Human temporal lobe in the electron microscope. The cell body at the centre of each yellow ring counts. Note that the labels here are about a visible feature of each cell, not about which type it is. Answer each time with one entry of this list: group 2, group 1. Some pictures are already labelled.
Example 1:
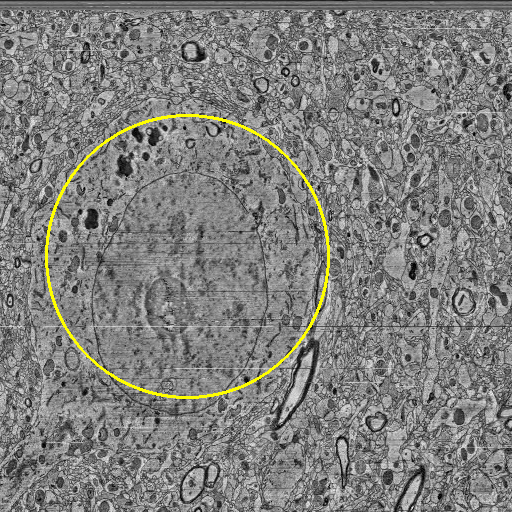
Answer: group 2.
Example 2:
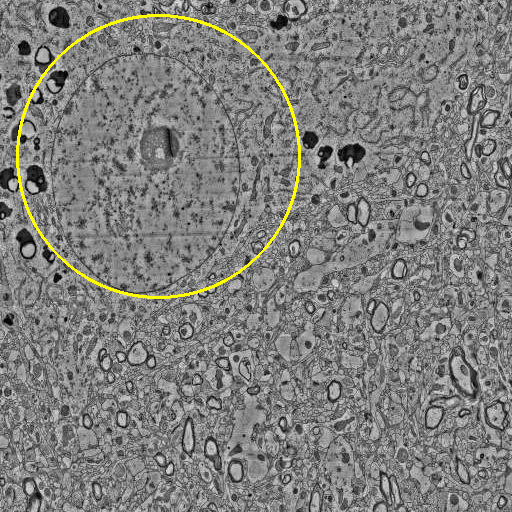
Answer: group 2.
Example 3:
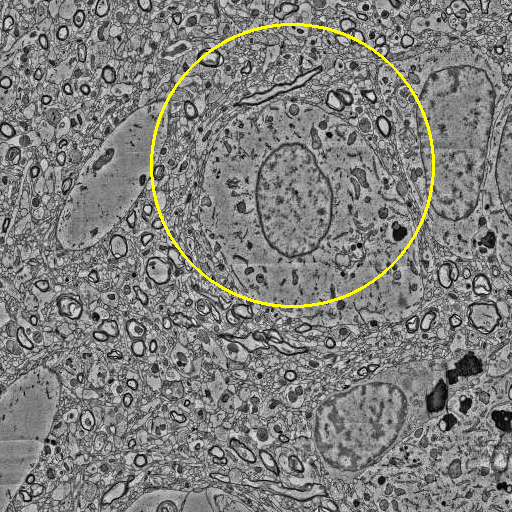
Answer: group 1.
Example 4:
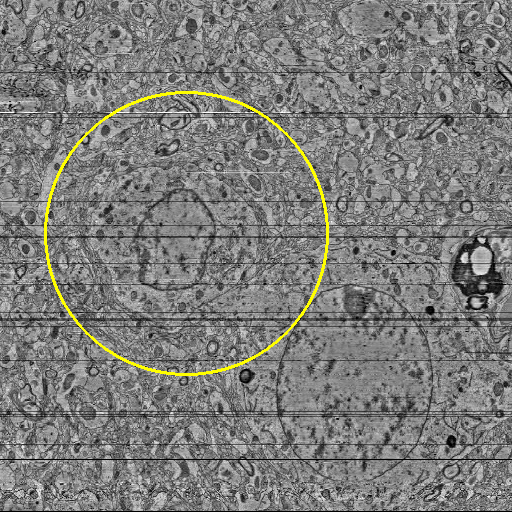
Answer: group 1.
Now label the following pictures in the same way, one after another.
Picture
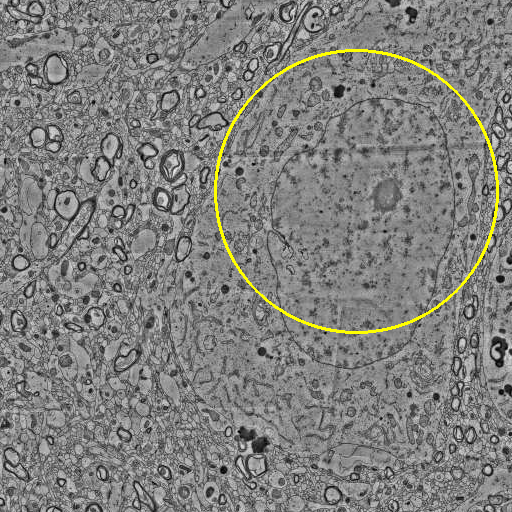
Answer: group 2.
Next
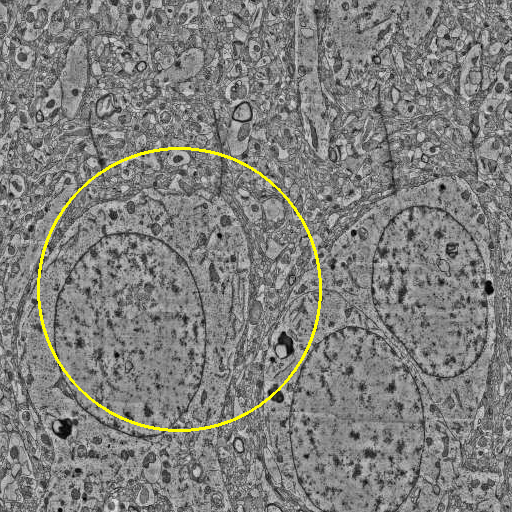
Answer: group 1.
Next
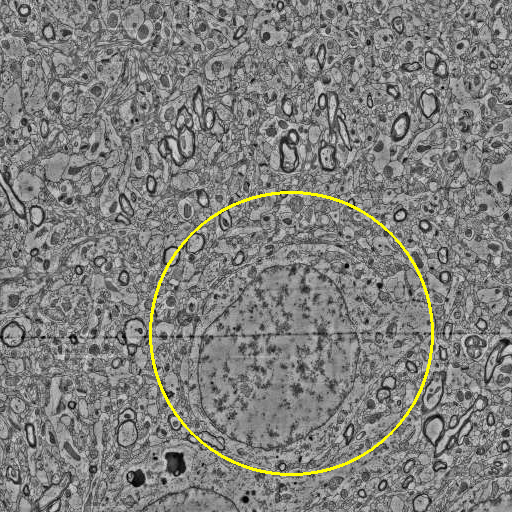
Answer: group 1.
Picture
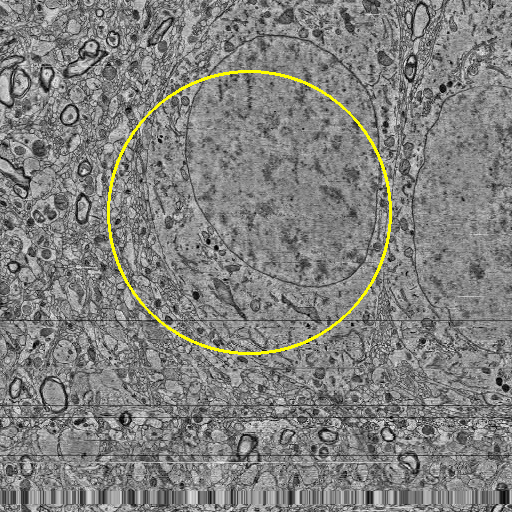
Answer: group 1.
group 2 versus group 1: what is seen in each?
Seen in group 2: nucleolus seen; seen in group 1: no nucleolus seen.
